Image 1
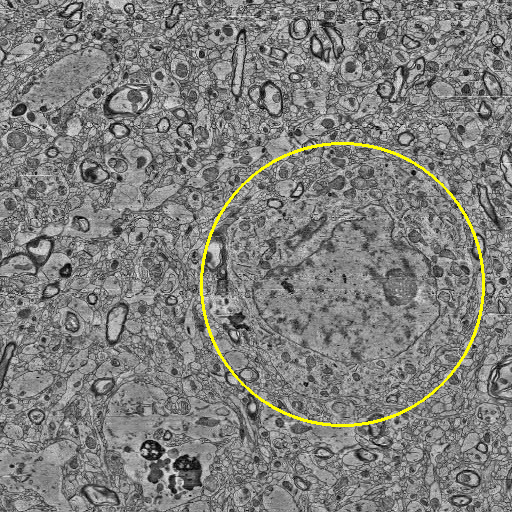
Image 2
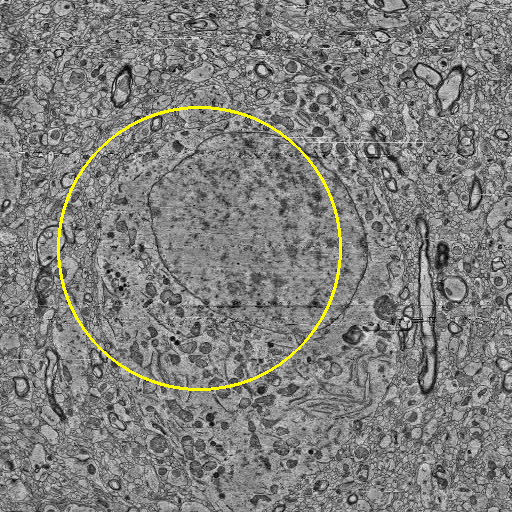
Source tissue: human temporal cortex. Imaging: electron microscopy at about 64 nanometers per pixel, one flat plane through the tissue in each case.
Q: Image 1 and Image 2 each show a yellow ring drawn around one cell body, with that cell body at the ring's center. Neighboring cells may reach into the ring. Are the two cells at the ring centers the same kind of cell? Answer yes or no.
yes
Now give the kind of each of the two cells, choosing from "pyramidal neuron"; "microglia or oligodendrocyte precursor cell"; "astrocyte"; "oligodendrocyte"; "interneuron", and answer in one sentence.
The first and the second cell are each an interneuron.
